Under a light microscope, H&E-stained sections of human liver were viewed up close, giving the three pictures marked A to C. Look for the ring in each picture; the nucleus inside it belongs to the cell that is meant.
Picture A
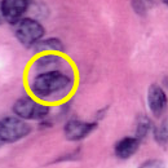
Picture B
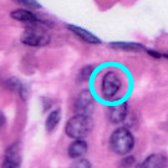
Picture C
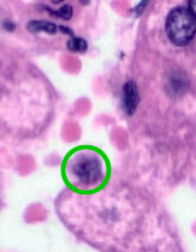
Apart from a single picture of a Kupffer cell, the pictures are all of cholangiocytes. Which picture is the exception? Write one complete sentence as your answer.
The cell in picture C is the Kupffer cell.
